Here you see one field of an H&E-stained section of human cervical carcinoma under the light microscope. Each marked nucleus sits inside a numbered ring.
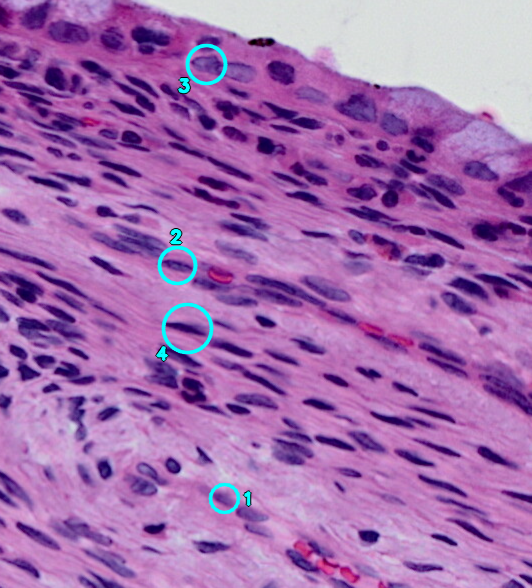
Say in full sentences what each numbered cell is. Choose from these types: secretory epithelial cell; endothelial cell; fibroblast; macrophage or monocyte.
Cell 1 is an endothelial cell, cell 2 is an endothelial cell, cell 3 is a secretory epithelial cell and cell 4 is a fibroblast.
